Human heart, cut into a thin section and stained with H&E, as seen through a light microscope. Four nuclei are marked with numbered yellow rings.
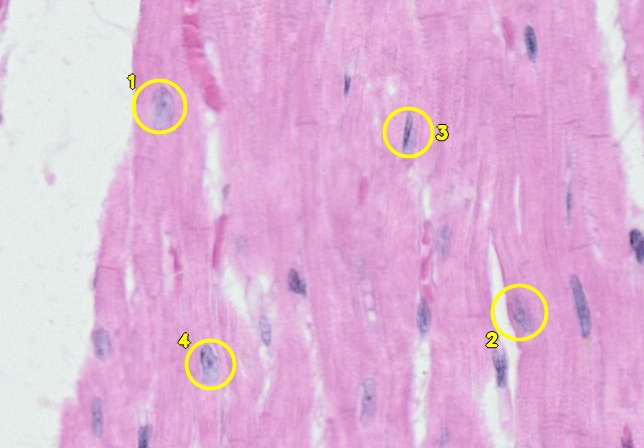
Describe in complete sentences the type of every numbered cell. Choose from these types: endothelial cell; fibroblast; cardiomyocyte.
Cell 1 is a cardiomyocyte, cell 2 is a cardiomyocyte, cell 3 is an endothelial cell and cell 4 is a cardiomyocyte.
